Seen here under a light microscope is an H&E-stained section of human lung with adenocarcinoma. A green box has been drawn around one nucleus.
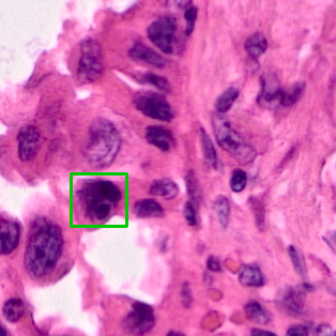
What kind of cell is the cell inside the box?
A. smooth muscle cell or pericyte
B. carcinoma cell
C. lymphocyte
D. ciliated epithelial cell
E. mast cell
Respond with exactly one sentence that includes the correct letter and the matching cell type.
The correct option here, B, identifies the cell inside the box as a carcinoma cell.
